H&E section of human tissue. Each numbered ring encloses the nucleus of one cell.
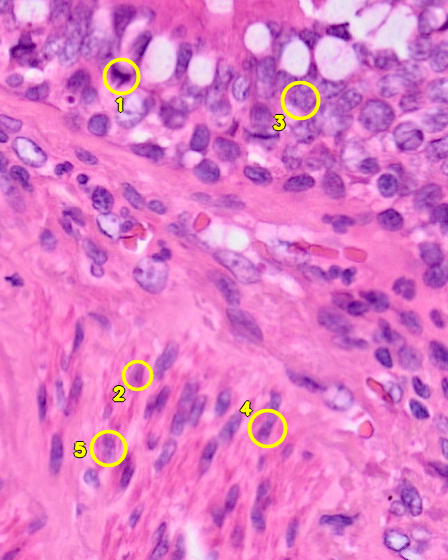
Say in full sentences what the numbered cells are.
Cell 1 is a ciliated epithelial cell, cell 2 is a smooth muscle cell or pericyte, cell 3 is a ciliated epithelial cell, cell 4 is a smooth muscle cell or pericyte and cell 5 is a smooth muscle cell or pericyte.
